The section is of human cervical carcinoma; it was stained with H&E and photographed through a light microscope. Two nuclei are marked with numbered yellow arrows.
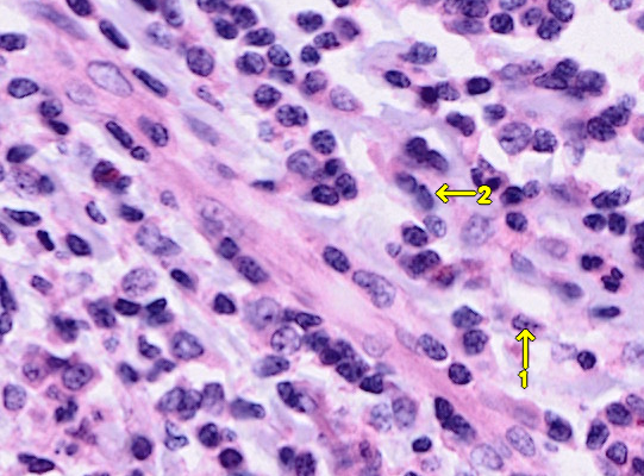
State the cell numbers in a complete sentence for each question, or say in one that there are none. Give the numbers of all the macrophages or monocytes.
Only one choice fits: cell 1 is a macrophage or monocyte, and no other.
